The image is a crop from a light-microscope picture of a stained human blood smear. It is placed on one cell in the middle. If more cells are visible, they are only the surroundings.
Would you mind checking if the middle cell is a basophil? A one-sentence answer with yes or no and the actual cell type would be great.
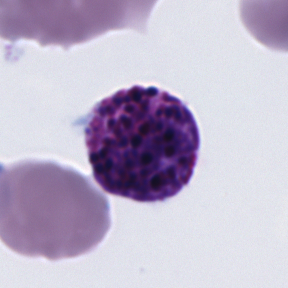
Yes, the middle cell here is a basophil.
